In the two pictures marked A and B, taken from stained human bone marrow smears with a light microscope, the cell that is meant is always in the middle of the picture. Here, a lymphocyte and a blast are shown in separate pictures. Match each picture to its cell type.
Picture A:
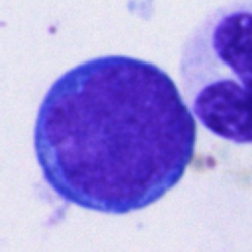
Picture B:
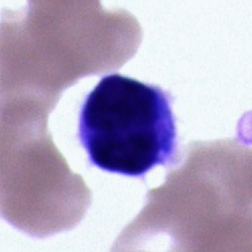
A: blast
B: lymphocyte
